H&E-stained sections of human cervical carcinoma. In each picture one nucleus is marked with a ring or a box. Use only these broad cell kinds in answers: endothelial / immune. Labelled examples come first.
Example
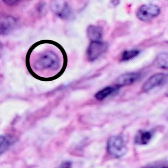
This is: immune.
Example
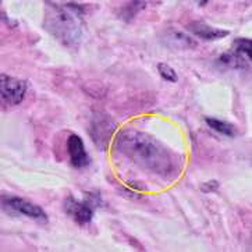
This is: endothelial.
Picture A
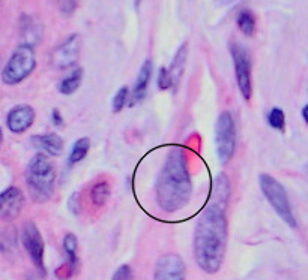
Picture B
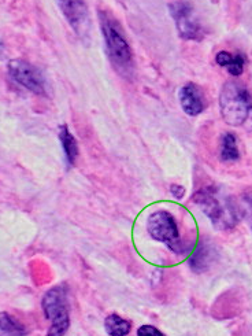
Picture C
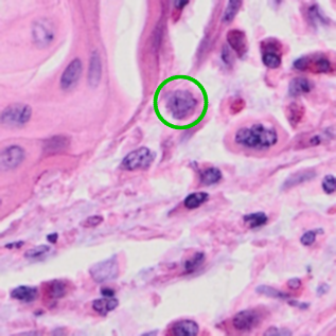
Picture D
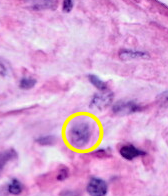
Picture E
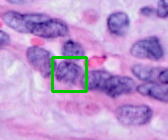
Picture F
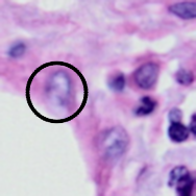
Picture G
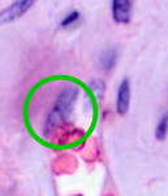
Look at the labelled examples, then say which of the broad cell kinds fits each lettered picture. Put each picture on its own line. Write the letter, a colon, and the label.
A: endothelial.
B: immune.
C: immune.
D: immune.
E: endothelial.
F: endothelial.
G: endothelial.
